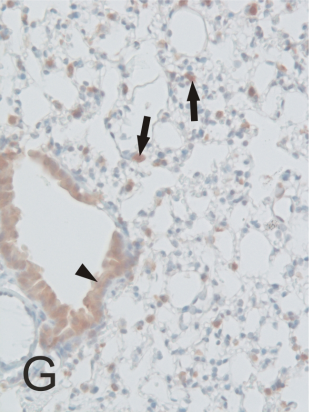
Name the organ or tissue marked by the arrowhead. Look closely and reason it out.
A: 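Respiratory epithelium. A single layer of columnar cells lines an airway lumen. The lining is strongly brown. Alveoli with thin walls surround the airway.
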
